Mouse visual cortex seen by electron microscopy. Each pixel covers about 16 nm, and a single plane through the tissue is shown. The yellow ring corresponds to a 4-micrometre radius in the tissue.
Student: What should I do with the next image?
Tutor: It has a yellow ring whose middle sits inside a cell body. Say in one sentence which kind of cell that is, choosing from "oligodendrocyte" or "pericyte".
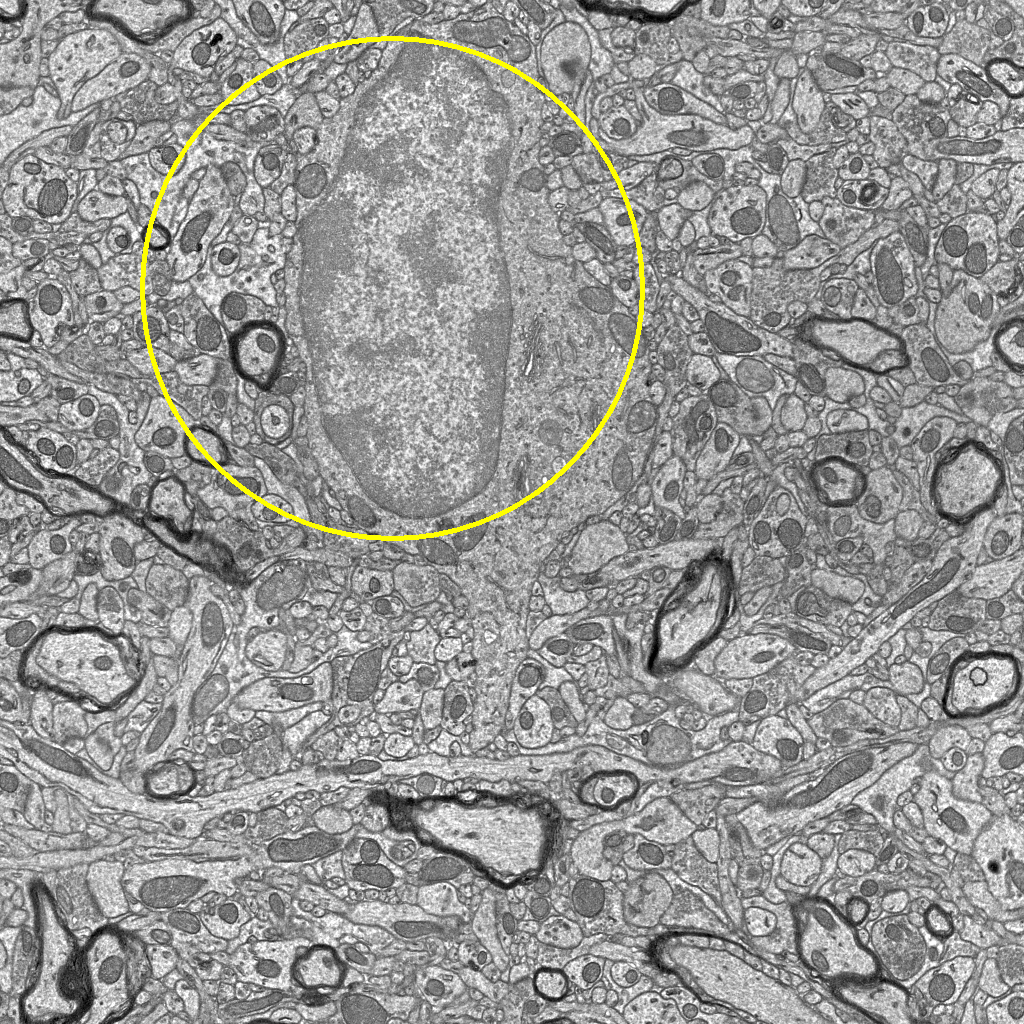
The ring's centre is occupied by an oligodendrocyte.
